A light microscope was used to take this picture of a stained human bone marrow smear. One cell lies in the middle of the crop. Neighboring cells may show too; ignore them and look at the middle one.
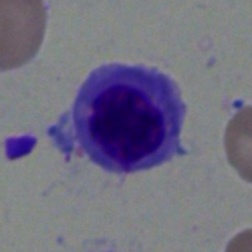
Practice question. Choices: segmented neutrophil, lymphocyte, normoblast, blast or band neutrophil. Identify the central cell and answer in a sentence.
The cell in the middle of this crop is a normoblast.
